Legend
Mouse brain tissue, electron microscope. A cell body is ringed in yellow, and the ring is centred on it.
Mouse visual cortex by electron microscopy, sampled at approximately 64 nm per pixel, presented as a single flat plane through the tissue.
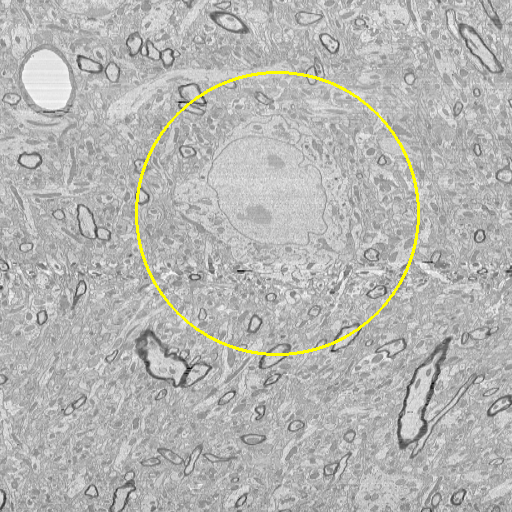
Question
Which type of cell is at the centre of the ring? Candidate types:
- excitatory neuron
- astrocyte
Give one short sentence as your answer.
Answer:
The yellow ring is centred here on an excitatory neuron.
